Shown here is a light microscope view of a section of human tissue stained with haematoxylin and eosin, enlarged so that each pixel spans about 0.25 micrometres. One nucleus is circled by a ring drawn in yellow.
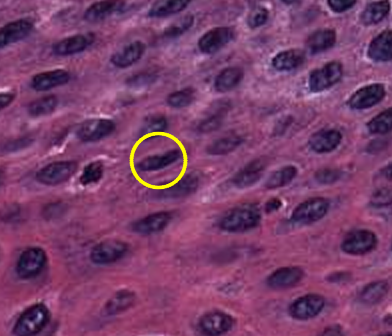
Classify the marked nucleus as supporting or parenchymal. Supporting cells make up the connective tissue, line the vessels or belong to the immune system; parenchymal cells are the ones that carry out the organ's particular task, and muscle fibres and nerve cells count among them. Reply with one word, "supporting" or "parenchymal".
parenchymal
